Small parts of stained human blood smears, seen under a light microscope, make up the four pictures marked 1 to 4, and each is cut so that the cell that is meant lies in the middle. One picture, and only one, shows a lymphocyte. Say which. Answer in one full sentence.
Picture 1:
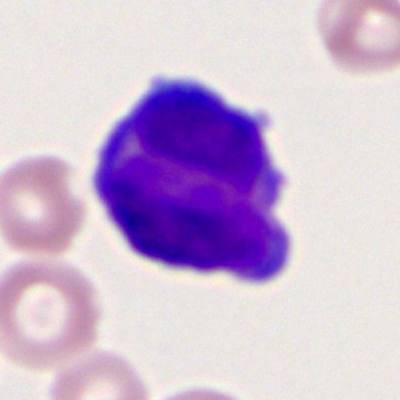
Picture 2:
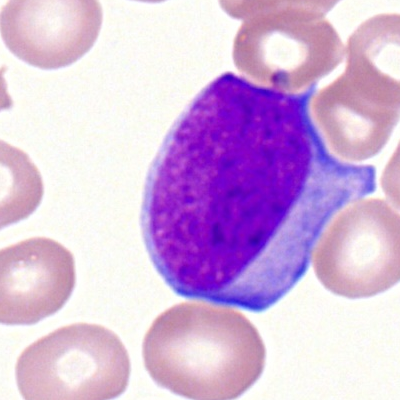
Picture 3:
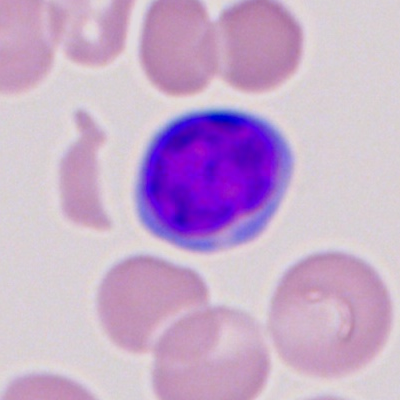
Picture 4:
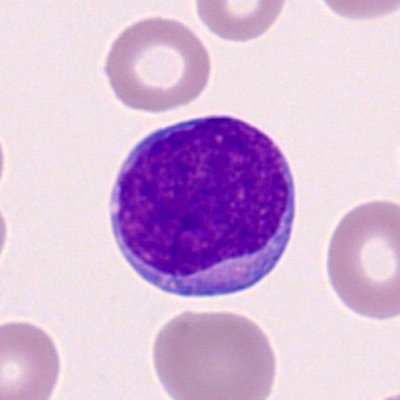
The lymphocyte is the one in picture 3.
